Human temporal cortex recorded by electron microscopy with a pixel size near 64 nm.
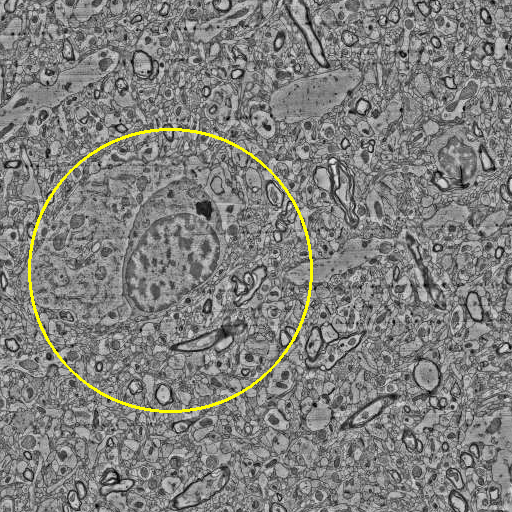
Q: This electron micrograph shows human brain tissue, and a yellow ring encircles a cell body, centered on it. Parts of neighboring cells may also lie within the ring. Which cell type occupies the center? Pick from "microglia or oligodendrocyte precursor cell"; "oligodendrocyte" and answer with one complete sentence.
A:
What sits at the ring's center in this micrograph is an oligodendrocyte, among those choices.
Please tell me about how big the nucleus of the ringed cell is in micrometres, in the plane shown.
The ringed cell's nucleus measures approximately 7 by 5 micrometres in this plane.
